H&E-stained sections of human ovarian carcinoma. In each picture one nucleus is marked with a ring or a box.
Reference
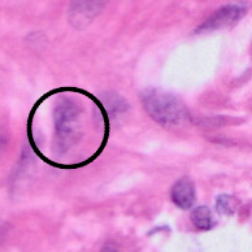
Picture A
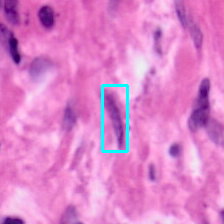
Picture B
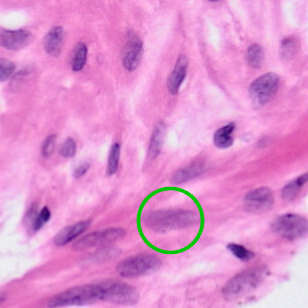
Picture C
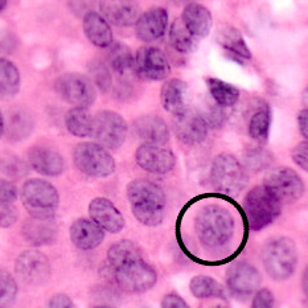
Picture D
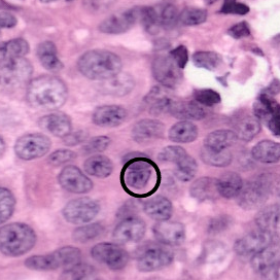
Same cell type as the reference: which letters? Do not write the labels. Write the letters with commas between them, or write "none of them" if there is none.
A, B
